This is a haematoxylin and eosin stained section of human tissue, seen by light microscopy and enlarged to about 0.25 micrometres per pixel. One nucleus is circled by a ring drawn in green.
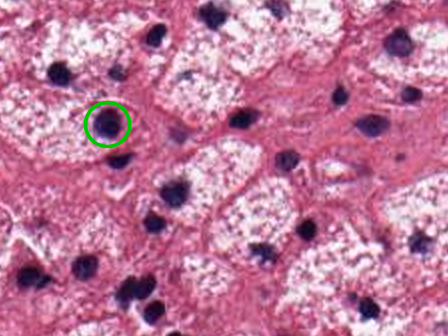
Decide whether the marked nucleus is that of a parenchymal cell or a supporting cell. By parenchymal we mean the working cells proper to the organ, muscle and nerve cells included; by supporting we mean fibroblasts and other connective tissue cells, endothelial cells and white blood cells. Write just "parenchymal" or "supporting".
parenchymal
